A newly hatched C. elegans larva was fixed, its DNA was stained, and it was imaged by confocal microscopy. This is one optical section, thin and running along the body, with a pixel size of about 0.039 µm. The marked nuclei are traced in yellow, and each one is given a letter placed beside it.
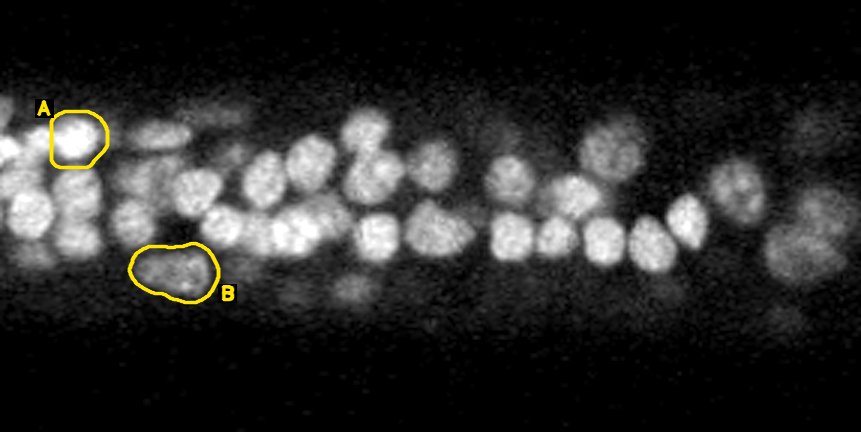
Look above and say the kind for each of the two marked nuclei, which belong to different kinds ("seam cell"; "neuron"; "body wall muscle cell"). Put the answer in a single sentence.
A belongs to a neuron and B to a body wall muscle cell.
